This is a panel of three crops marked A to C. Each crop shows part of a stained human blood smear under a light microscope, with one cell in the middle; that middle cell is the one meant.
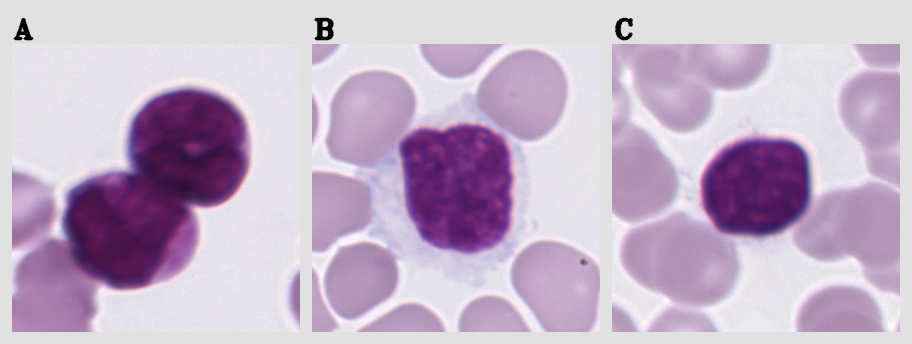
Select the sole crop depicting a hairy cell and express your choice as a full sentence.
Of the cells presented, the one in crop B is a hairy cell.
